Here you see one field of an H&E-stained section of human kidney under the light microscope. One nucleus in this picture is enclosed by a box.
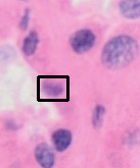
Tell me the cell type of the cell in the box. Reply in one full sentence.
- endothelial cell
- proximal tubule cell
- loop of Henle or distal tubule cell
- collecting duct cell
In this tissue section, the cell in the box is to be classed as a loop of Henle or distal tubule cell.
